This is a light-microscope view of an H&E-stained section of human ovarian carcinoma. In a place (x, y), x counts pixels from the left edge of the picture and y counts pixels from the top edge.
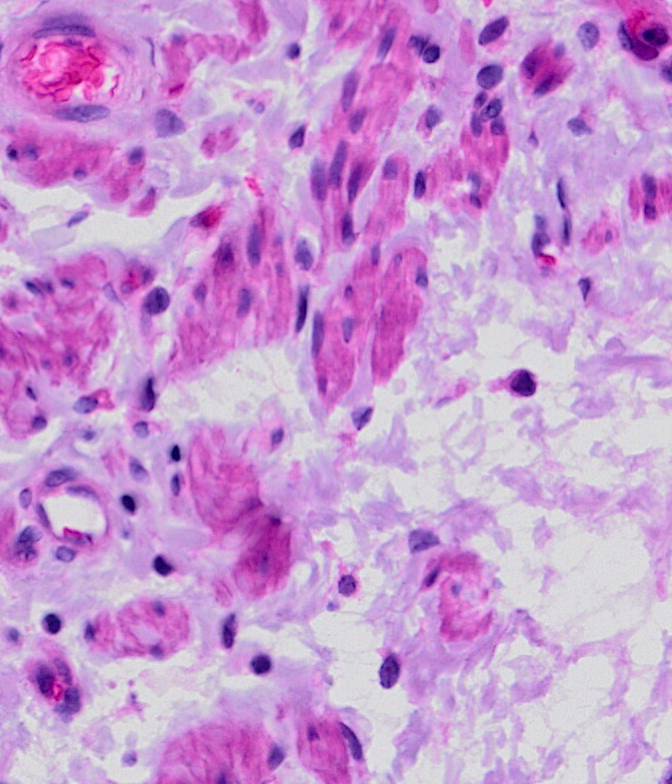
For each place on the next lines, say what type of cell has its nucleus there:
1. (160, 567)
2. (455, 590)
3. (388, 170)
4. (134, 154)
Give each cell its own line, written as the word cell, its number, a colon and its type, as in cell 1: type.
cell 1: lymphocyte
cell 2: smooth muscle cell
cell 3: smooth muscle cell
cell 4: smooth muscle cell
